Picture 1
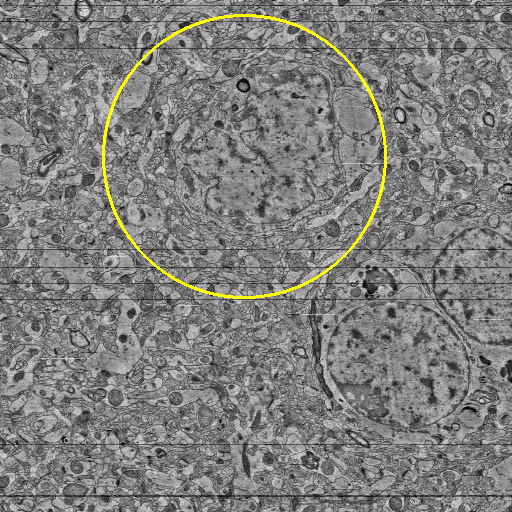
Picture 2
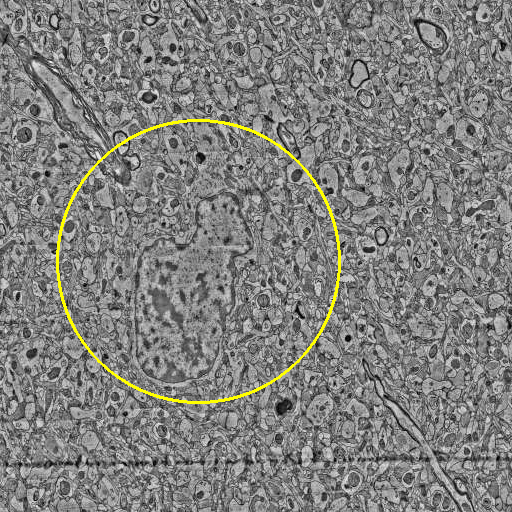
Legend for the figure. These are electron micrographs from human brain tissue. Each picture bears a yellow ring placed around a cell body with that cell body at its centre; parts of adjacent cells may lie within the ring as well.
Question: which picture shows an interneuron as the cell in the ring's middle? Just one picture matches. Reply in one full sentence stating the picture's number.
It is picture 1 whose yellow ring is centred on the requested cell.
